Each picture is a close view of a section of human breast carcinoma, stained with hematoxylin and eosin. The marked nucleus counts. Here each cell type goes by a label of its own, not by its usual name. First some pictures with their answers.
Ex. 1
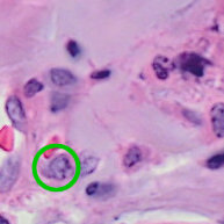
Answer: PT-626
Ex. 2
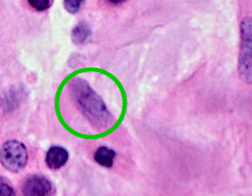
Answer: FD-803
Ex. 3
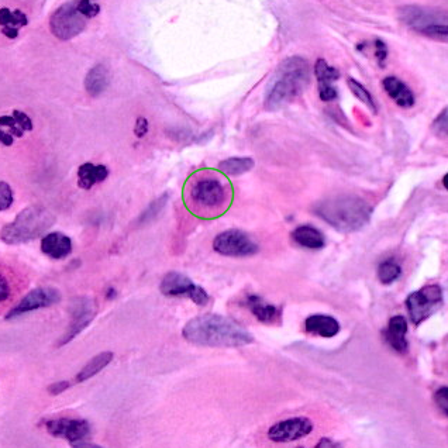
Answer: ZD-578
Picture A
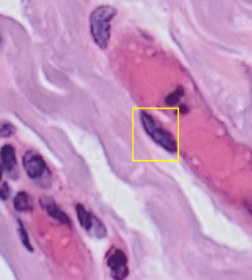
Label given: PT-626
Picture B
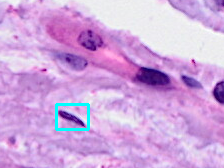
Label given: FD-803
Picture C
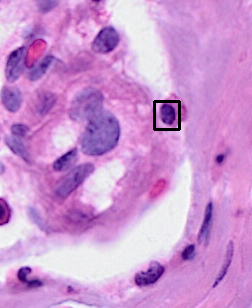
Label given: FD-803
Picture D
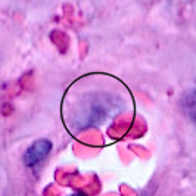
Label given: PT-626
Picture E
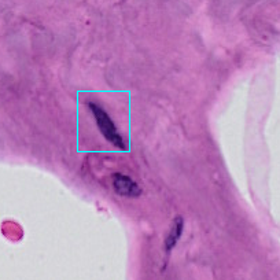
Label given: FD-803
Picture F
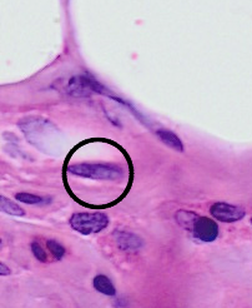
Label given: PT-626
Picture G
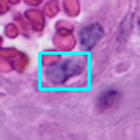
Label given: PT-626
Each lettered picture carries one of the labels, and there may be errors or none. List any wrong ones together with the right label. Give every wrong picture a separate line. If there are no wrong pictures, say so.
C: change FD-803 to ZD-578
